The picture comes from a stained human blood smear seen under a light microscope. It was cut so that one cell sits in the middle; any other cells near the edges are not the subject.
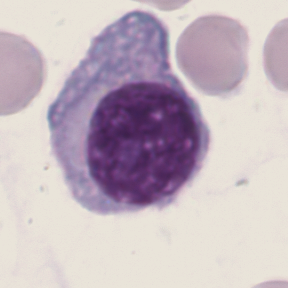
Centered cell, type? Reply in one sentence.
The central cell shown in this smear crop is a plasma cell.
